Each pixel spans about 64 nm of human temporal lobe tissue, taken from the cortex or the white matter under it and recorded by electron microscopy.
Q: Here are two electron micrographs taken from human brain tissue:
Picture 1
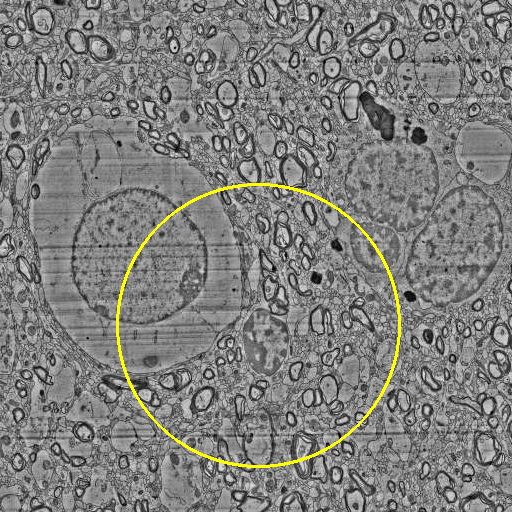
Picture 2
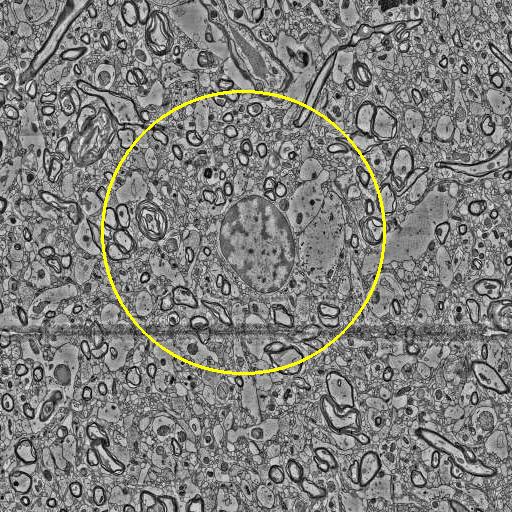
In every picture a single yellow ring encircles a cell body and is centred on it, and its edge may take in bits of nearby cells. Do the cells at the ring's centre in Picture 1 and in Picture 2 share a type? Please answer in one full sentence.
Yes, the cells at the ring's centre in Picture 1 and Picture 2 share a type.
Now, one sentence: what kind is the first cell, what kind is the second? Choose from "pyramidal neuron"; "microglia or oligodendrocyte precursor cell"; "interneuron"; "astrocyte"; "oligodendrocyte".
The cell at the ring centre is a microglial cell or oligodendrocyte precursor cell in both pictures.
